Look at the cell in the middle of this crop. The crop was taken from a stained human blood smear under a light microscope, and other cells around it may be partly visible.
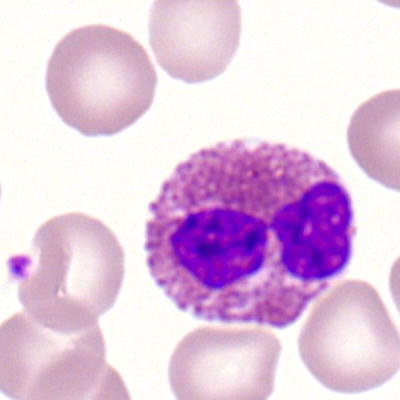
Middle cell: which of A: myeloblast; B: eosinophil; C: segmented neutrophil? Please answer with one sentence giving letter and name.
The cell at the centre, correctly named in option B, is an eosinophil.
